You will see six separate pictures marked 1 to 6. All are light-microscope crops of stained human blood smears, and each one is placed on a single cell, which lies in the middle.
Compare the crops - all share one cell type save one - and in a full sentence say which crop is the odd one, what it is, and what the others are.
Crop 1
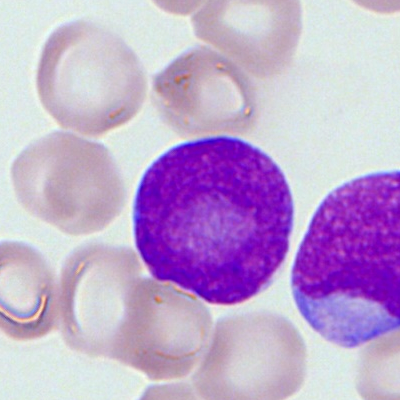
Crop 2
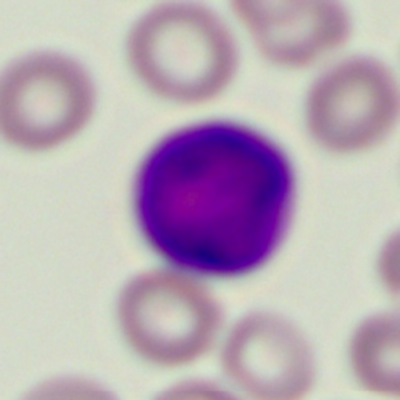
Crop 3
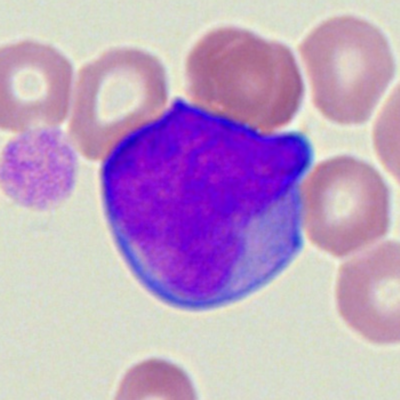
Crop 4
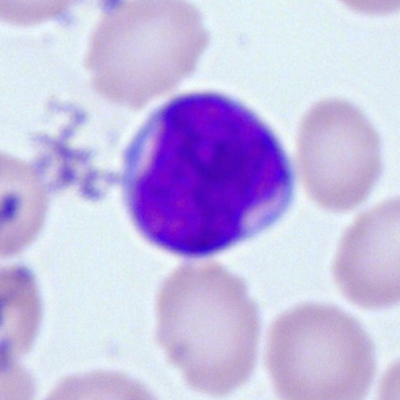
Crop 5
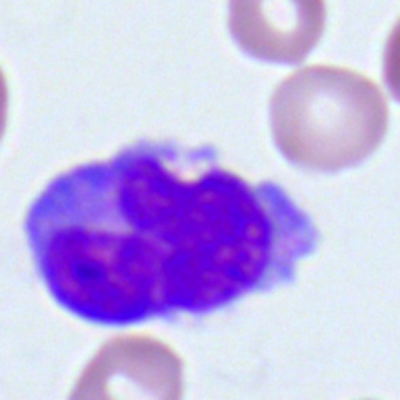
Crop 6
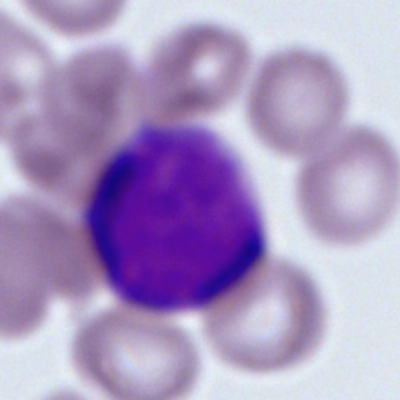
Shown in crop 5 is a monocyte, in contrast to the myeloblasts of all the other crops.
